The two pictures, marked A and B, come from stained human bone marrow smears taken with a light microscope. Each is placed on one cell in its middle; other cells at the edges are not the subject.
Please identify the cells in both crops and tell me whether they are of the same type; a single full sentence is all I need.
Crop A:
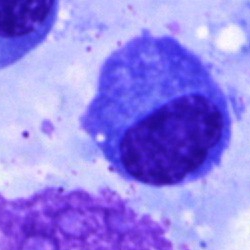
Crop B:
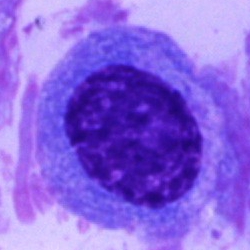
Yes, with regard to both crops, the central cells are plasma cells.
